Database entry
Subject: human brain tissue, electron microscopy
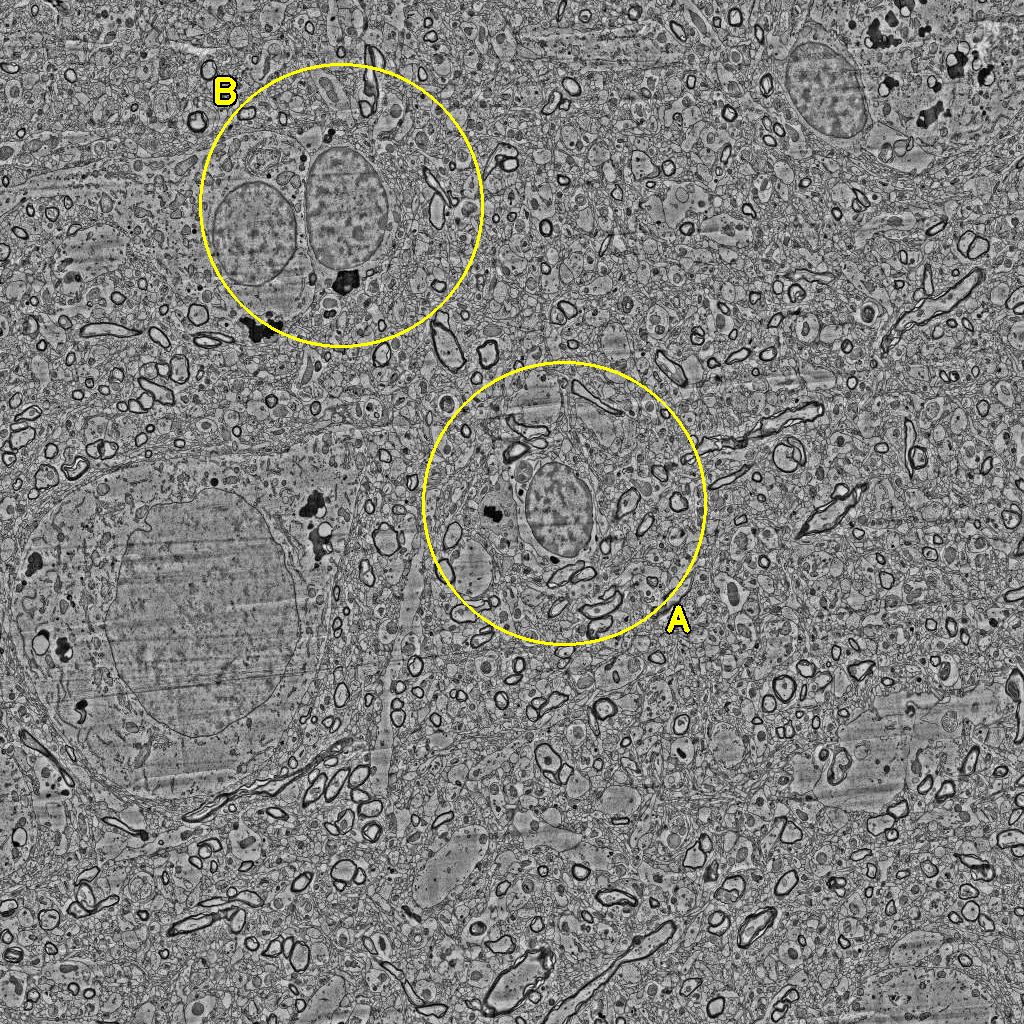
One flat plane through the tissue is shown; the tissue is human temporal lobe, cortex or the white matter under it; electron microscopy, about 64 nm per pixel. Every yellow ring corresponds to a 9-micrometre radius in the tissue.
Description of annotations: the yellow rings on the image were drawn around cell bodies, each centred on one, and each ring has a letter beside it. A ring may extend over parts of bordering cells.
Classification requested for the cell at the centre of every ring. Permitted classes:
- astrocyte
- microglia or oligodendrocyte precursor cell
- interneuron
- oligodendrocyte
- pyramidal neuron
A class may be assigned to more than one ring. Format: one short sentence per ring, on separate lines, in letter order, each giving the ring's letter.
The cell body at the centre of ring A is a microglial cell or oligodendrocyte precursor cell.
The cell body at the centre of ring B is an oligodendrocyte.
